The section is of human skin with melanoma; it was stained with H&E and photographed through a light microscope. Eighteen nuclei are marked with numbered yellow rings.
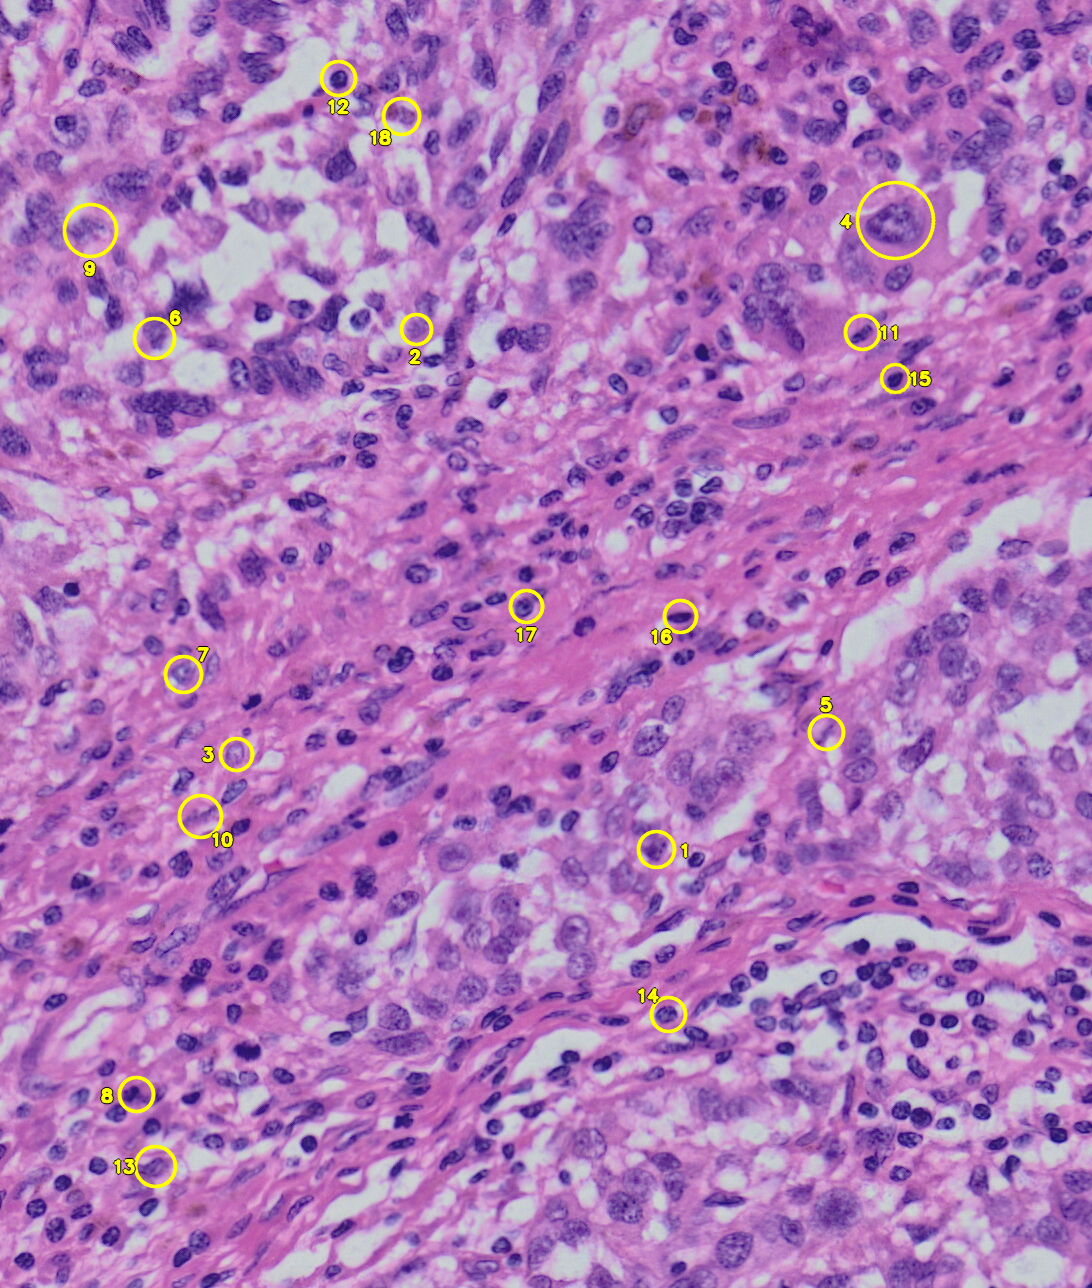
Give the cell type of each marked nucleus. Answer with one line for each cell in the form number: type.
1: melanoma cell
2: melanoma cell
3: endothelial cell
4: melanoma cell
5: fibroblast or myofibroblast
6: melanoma cell
7: endothelial cell
8: plasma cell
9: melanoma cell
10: fibroblast or myofibroblast
11: lymphocyte
12: lymphocyte
13: macrophage or monocyte
14: lymphocyte
15: plasma cell
16: plasma cell
17: lymphocyte
18: macrophage or monocyte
